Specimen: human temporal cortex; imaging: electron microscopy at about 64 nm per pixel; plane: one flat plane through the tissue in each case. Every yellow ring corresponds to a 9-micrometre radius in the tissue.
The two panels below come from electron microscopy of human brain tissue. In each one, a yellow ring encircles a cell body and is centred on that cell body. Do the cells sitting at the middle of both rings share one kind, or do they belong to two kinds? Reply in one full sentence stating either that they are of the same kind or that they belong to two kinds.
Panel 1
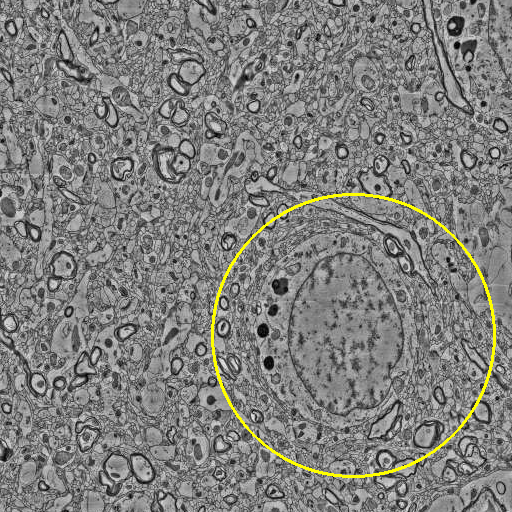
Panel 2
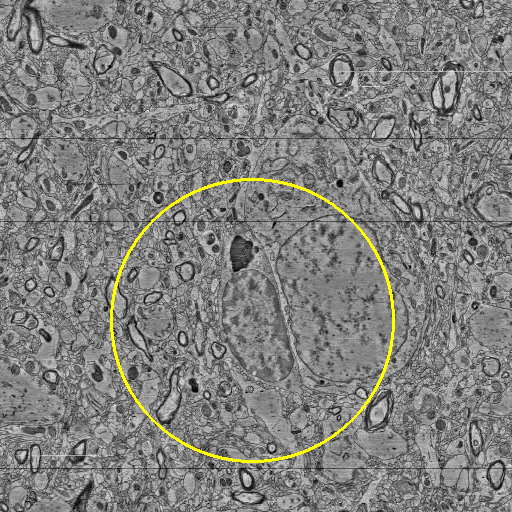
The cells at the centres of the two rings belong to two kinds.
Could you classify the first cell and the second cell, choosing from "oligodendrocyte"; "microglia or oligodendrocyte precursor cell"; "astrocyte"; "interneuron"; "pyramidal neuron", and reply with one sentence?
The second cell is an oligodendrocyte, while the first is a pyramidal neuron.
